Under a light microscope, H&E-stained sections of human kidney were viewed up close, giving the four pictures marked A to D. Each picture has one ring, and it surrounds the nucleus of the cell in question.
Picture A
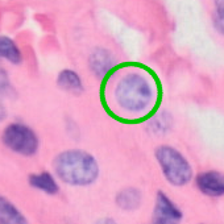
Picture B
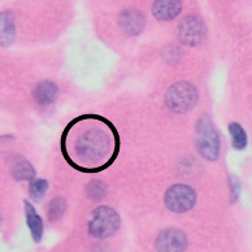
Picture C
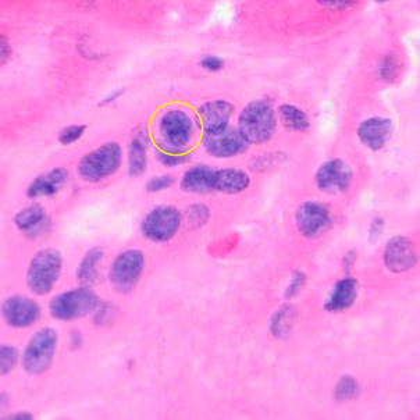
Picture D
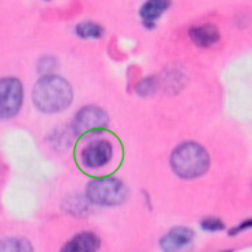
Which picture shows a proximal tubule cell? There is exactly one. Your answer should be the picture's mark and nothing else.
B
